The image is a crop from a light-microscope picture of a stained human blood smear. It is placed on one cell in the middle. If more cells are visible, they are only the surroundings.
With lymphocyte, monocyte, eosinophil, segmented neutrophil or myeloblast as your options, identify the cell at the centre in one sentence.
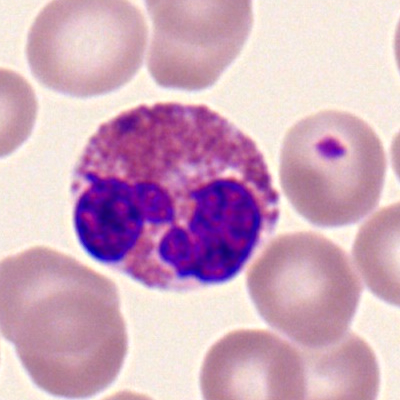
In this smear crop, the middle cell is an eosinophil.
